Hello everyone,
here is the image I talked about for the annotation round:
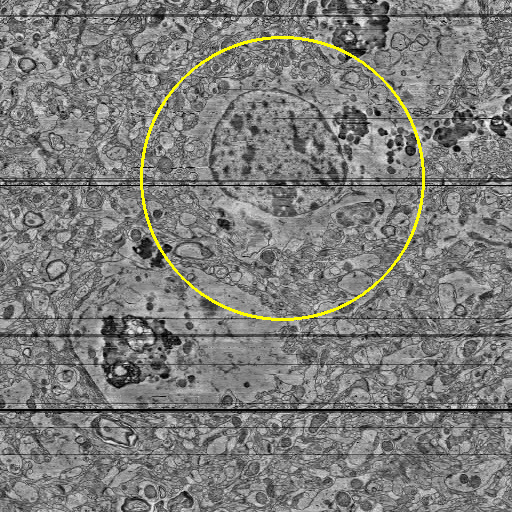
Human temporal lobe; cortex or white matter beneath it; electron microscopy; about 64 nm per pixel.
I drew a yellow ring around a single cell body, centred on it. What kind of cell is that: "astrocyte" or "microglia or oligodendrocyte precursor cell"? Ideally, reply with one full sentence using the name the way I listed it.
The cell your yellow ring is centred on is an astrocyte, going by your list.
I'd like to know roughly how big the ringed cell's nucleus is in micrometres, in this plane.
The nucleus of the ringed cell is approximately 9 micrometres across in this plane.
